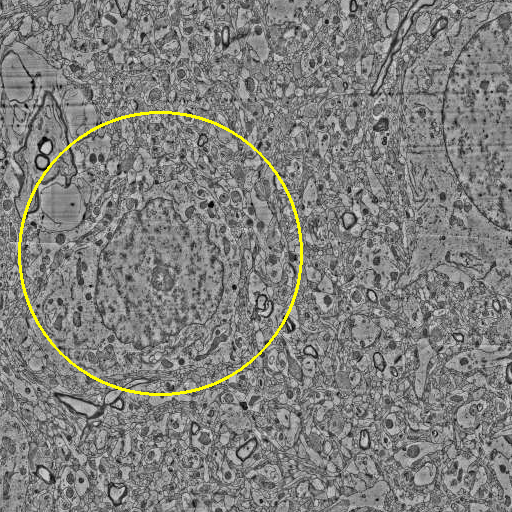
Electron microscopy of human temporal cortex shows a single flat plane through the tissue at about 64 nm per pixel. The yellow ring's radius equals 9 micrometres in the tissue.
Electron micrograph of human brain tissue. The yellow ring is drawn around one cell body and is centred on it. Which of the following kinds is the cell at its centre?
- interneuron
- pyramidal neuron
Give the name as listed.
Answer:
interneuron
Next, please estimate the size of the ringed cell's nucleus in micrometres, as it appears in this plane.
The nucleus appears roughly 10 by 8 micrometres in this plane.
